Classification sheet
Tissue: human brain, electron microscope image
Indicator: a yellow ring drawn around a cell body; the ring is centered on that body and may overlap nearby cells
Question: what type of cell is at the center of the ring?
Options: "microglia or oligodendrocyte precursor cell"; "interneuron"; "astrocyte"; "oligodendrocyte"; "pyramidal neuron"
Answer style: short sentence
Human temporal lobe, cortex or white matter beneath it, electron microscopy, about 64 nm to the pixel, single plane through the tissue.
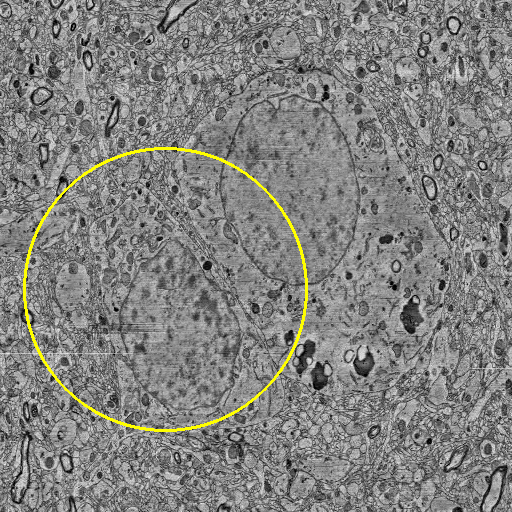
At the ring's center is an interneuron.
